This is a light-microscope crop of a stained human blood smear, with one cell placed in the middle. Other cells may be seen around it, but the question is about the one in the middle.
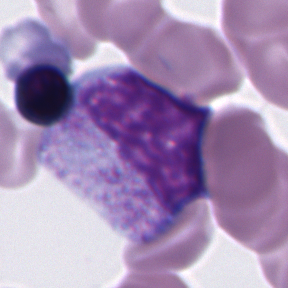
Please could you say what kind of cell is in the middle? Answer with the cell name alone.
promyelocyte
